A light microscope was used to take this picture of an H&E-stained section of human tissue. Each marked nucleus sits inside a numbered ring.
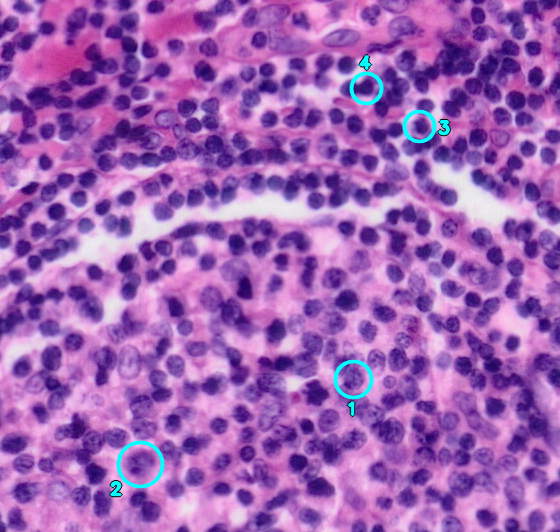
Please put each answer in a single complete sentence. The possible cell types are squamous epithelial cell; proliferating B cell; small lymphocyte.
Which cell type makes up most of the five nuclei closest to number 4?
Small lymphocytes make up most of the five nuclei closest to number 4.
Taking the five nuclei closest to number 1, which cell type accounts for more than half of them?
Most of the five nuclei nearest to number 1 are those of proliferating B cells.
